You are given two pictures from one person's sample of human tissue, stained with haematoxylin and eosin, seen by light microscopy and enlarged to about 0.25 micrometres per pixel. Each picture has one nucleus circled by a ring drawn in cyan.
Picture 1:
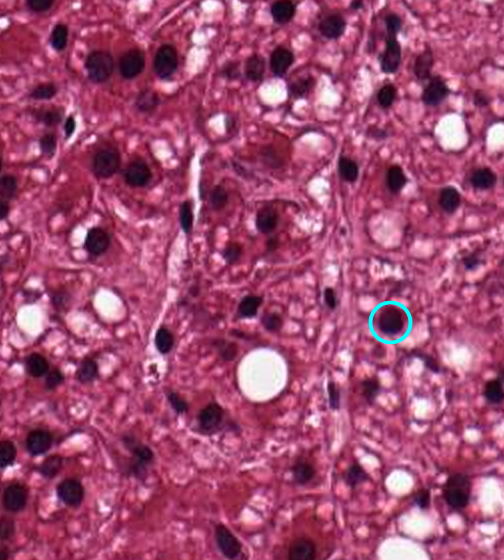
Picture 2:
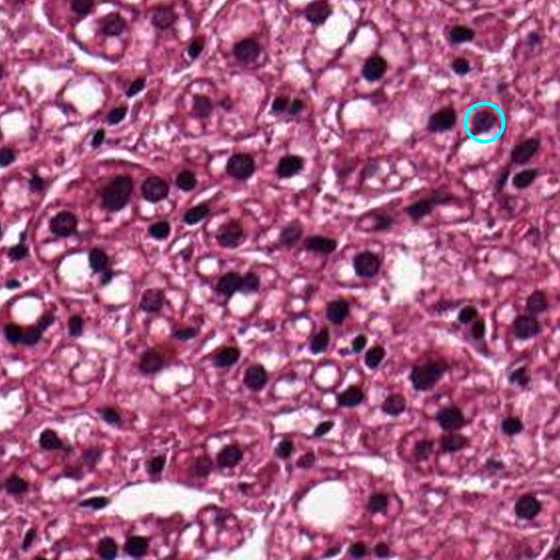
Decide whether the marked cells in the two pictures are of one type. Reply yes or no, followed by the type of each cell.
Yes, both are adrenal cortical cells.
